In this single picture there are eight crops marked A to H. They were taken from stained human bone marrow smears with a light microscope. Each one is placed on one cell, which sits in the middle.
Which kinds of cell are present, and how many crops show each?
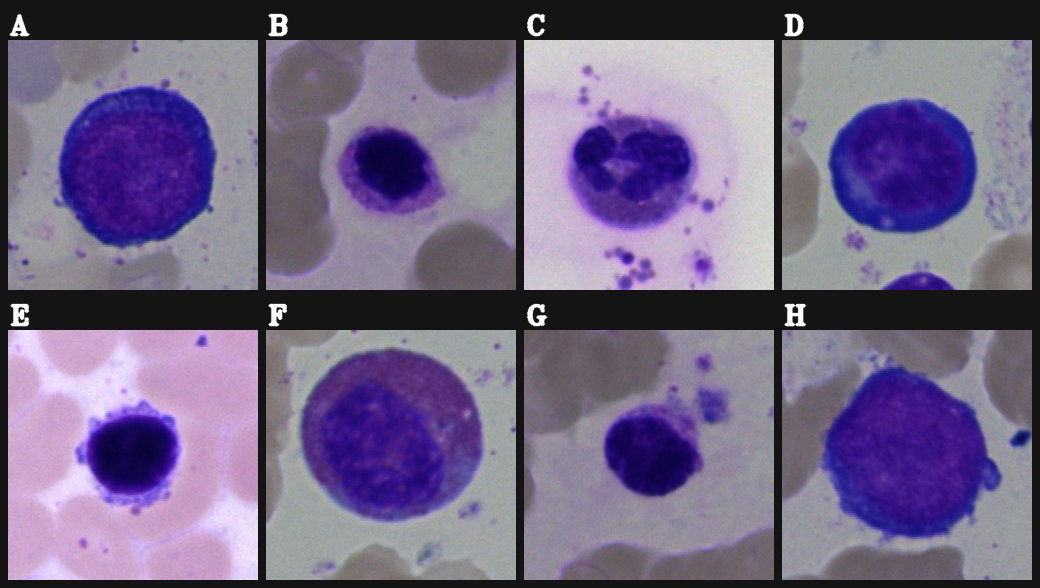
proerythroblast: 3
basophil: 2
eosinophil: 2
lymphocyte: 1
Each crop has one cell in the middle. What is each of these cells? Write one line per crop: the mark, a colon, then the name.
A: proerythroblast
B: basophil
C: eosinophil
D: proerythroblast
E: lymphocyte
F: eosinophil
G: basophil
H: proerythroblast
